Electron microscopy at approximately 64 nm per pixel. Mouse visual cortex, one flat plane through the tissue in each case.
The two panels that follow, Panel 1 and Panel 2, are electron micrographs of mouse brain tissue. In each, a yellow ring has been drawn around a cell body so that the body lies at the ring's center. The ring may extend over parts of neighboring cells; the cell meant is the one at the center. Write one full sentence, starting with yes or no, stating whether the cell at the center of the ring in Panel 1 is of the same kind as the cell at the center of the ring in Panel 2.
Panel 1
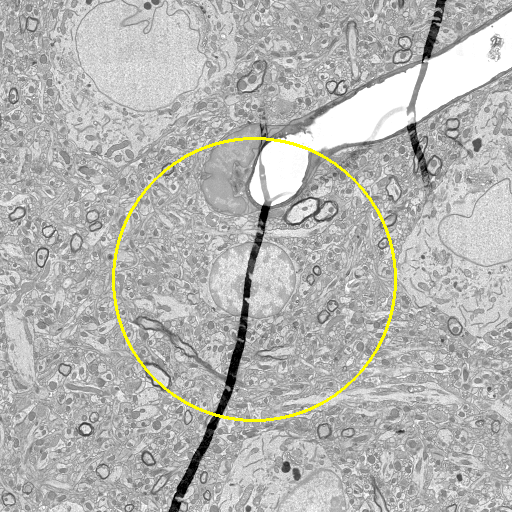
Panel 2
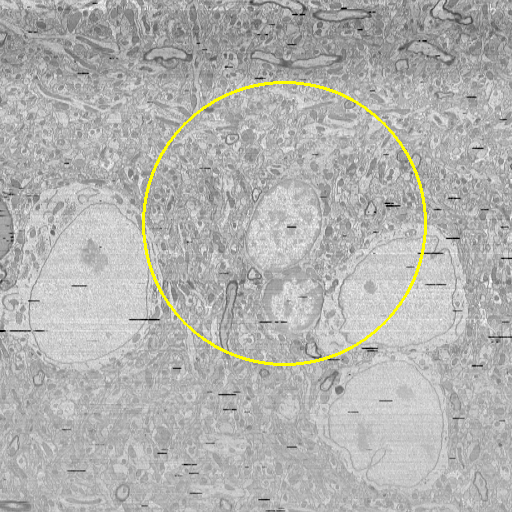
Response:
Yes, the cells in both panels are of the same kind.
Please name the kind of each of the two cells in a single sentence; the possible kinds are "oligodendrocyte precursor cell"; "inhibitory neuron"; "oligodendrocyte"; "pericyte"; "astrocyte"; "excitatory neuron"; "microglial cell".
The ring centre holds an oligodendrocyte in each of the two pictures.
